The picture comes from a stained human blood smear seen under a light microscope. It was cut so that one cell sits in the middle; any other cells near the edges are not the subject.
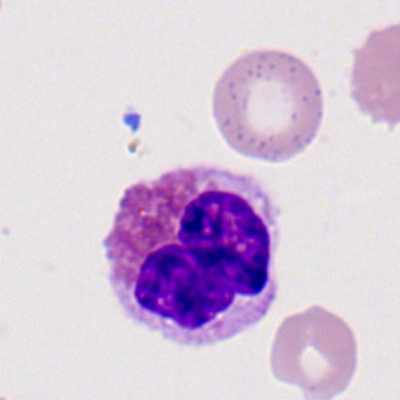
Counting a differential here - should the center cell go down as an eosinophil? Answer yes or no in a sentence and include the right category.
Yes, the crop is centred on an eosinophil.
